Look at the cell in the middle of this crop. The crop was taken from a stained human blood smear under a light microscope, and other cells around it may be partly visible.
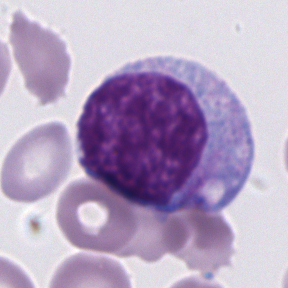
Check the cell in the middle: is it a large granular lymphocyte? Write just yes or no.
no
